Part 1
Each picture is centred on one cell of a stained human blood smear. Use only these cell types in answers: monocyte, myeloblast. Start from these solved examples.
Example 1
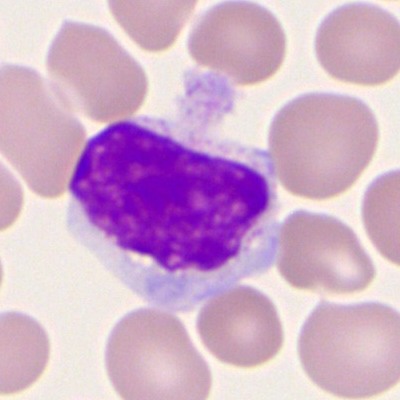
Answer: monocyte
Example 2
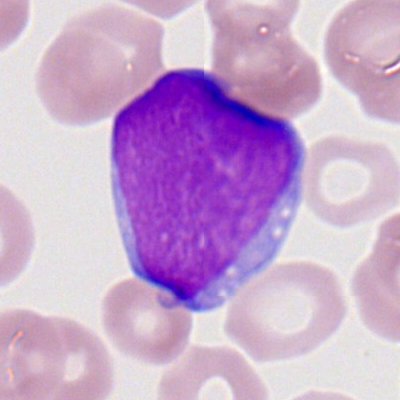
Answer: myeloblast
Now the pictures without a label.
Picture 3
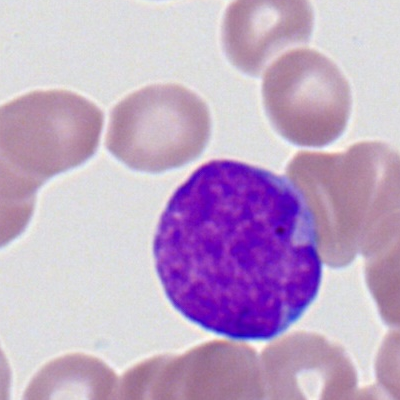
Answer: myeloblast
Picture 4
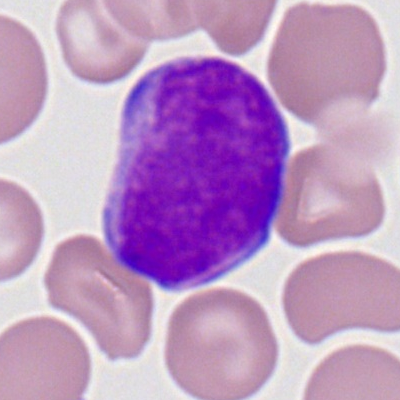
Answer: myeloblast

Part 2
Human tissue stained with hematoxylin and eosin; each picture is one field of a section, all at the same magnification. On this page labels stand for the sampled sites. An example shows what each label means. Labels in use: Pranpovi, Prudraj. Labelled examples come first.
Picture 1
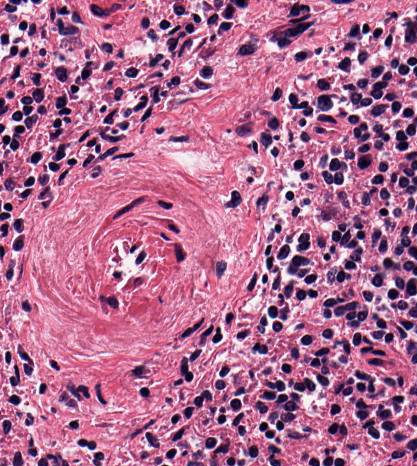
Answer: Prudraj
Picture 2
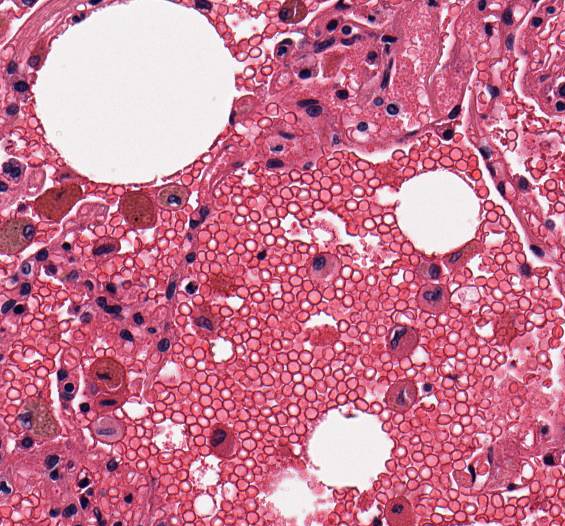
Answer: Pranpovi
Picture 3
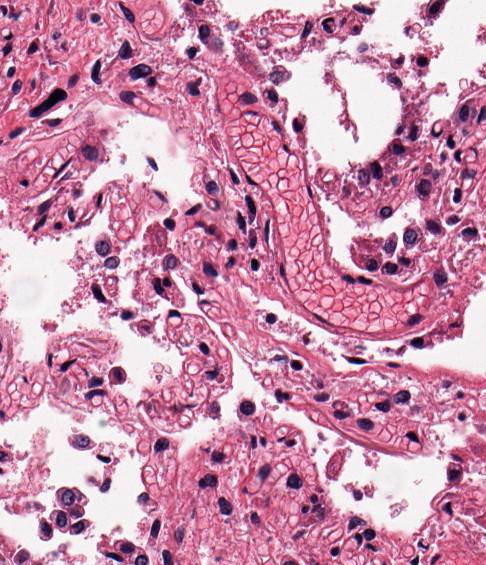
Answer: Pranpovi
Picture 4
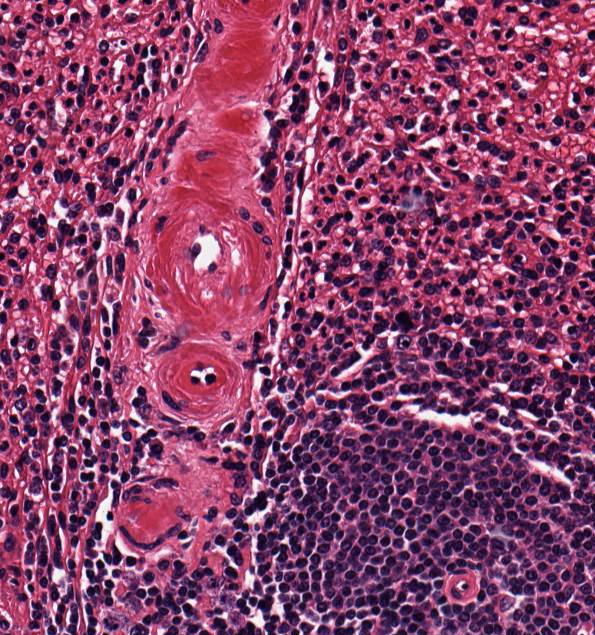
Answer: Prudraj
